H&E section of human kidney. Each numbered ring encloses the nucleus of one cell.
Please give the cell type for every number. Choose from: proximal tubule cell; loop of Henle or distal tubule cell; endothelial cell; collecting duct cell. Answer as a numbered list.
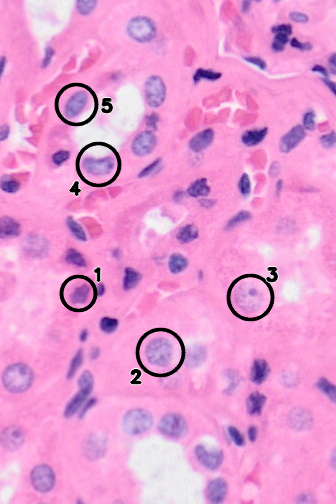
1. proximal tubule cell
2. loop of Henle or distal tubule cell
3. proximal tubule cell
4. loop of Henle or distal tubule cell
5. loop of Henle or distal tubule cell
